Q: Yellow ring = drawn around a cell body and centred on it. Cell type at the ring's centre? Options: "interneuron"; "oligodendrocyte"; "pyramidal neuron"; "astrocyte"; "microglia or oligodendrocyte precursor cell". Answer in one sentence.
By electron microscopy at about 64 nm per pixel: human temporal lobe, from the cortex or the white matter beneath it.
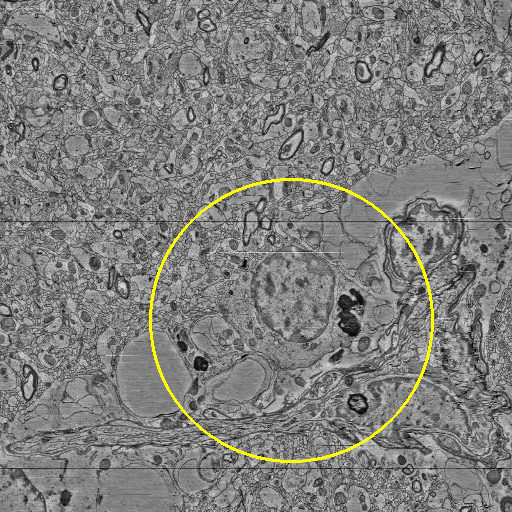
Centred in the ring is an oligodendrocyte.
